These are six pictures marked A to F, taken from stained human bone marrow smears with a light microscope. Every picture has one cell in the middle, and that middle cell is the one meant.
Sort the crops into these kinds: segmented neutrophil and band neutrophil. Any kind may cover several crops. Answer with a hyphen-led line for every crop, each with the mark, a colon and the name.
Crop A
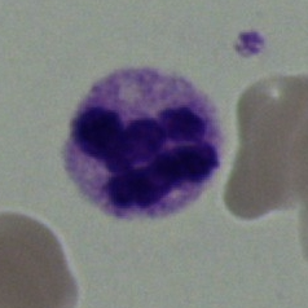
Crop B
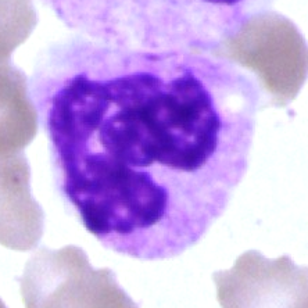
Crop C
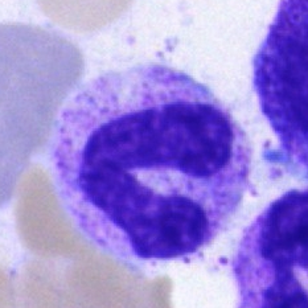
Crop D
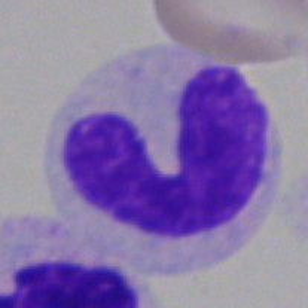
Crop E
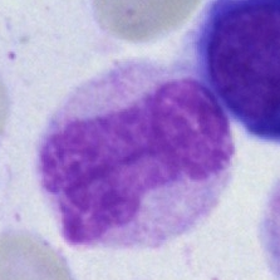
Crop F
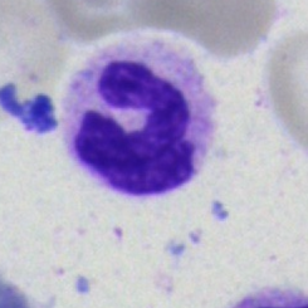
- A: segmented neutrophil
- B: segmented neutrophil
- C: band neutrophil
- D: band neutrophil
- E: band neutrophil
- F: band neutrophil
